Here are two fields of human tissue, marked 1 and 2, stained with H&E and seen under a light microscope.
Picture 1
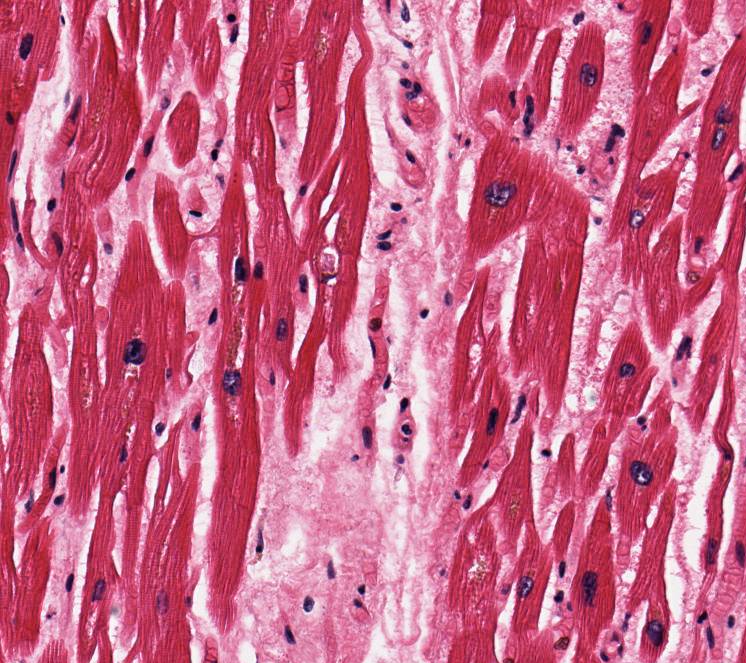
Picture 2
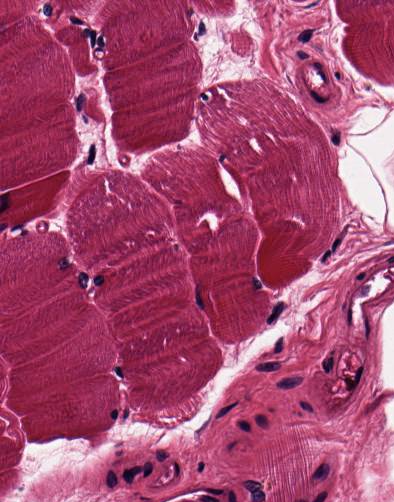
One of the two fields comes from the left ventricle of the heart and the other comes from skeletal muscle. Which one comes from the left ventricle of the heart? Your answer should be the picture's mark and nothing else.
1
